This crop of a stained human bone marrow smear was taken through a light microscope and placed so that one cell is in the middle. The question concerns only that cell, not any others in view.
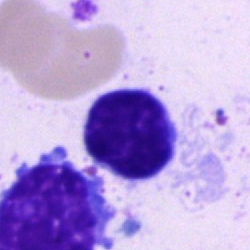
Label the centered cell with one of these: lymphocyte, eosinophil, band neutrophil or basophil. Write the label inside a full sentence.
Located at the centre of the crop is a lymphocyte.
